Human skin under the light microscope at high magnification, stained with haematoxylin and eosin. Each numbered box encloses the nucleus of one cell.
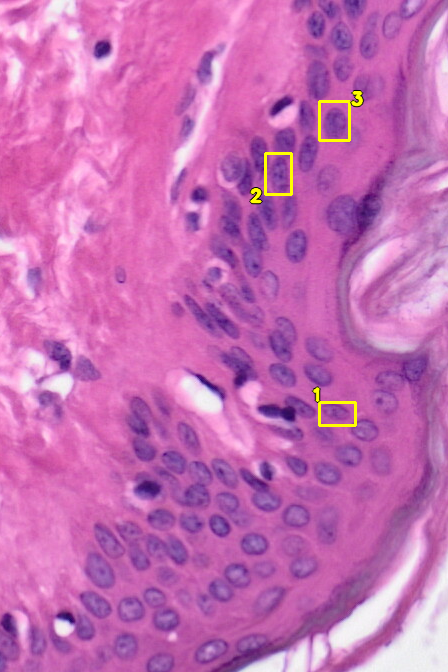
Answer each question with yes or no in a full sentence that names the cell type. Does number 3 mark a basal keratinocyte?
No, cell 3 should be read as a suprabasal keratinocyte instead of a basal keratinocyte.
